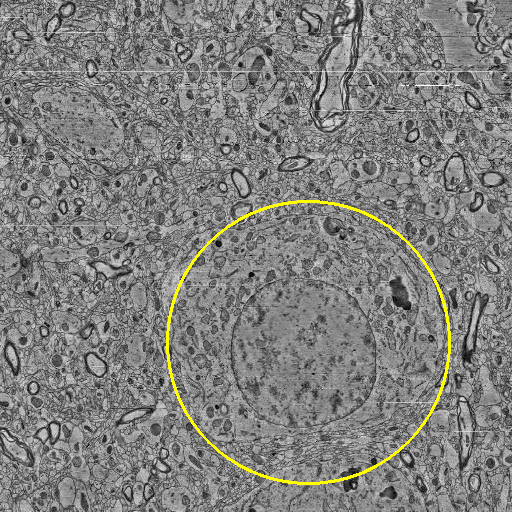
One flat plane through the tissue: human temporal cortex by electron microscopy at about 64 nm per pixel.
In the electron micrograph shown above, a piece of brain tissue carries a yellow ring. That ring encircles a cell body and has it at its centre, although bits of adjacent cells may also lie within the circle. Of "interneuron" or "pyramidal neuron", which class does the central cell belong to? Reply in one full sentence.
The cell body at the centre of the yellow ring belongs to an interneuron.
